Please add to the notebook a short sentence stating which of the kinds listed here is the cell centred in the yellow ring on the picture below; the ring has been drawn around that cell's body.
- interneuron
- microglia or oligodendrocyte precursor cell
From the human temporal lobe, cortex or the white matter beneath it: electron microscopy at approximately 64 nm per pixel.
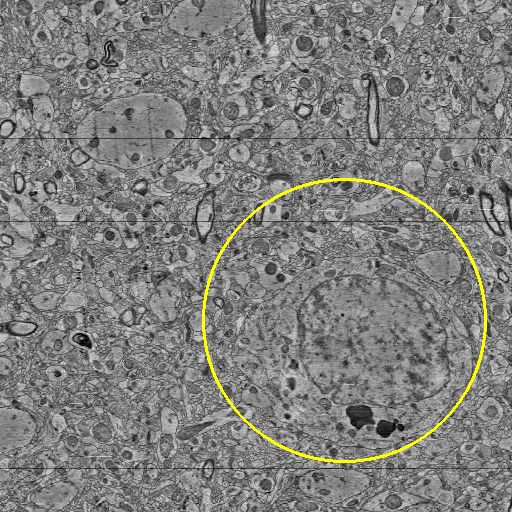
The cell centred in the yellow ring is an interneuron.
